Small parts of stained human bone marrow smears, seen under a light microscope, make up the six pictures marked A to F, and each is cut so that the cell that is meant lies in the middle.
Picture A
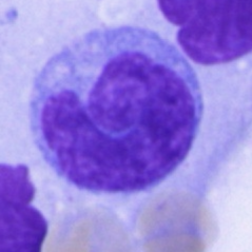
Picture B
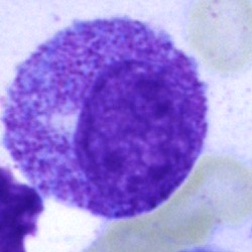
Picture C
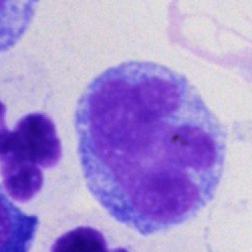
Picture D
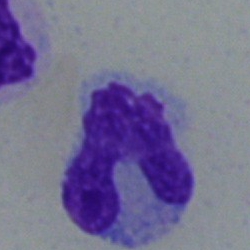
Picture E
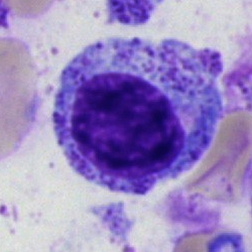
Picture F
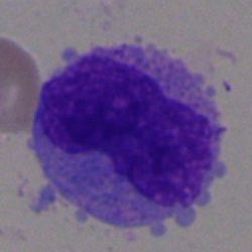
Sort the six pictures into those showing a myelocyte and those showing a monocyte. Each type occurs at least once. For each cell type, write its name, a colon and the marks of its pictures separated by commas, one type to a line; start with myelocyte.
myelocyte: B, E
monocyte: A, C, D, F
